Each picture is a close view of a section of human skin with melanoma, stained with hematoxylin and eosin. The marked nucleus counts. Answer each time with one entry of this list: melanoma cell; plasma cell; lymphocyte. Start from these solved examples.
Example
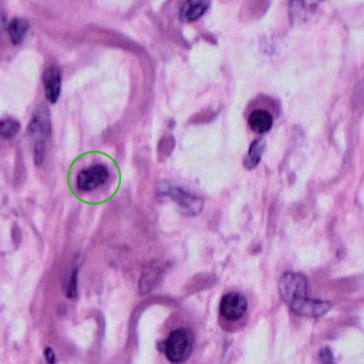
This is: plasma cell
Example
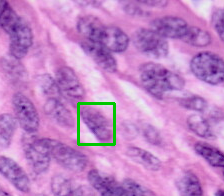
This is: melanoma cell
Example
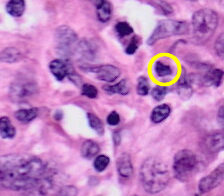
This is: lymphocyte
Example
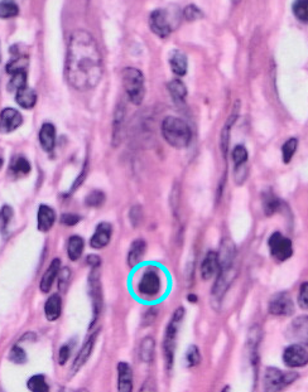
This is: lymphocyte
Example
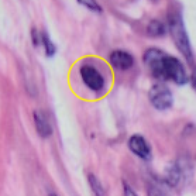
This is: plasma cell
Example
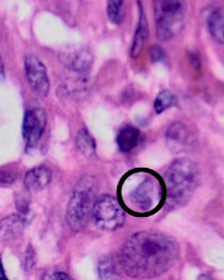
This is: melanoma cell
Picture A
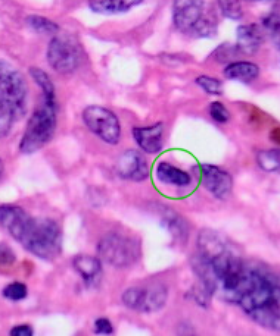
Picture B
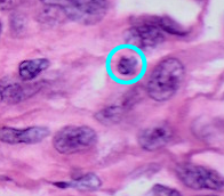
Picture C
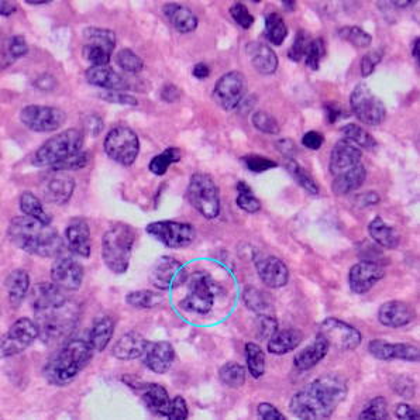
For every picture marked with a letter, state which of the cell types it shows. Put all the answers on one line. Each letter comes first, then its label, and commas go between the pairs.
A lymphocyte, B lymphocyte, C melanoma cell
